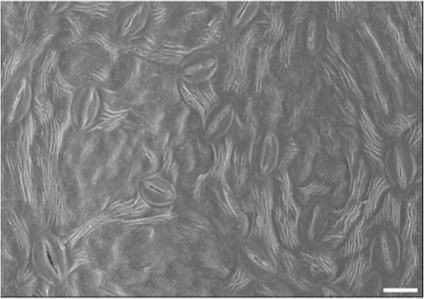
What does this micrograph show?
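Scanning electron view of a leaf epidermis with many stomata, each a pair of plump, curved guard cells. The central pores between the guard cells appear narrow or nearly shut rather than as open dark slits. The surrounding epidermal surface bears dense wavy ridges that sweep across the field.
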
